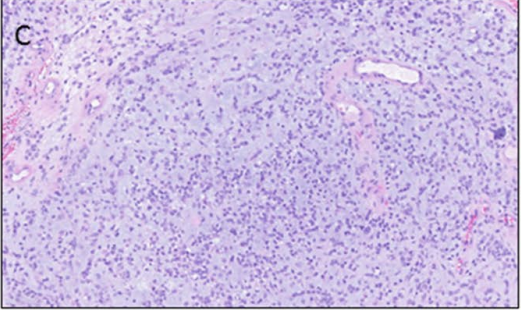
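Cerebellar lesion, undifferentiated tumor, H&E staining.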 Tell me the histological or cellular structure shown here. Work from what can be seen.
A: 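Myxoid matrix. Cells lie widely spaced in a pale, faintly bluish-pink background. Nuclei are small and scattered rather than packed.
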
